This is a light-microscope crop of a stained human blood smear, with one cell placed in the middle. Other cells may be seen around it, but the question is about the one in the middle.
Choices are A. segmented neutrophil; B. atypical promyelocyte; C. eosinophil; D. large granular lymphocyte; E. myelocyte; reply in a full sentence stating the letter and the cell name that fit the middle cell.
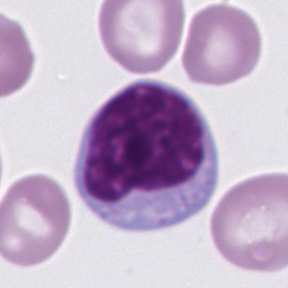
Located in the middle of the crop is a large granular lymphocyte, and option D is therefore correct.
